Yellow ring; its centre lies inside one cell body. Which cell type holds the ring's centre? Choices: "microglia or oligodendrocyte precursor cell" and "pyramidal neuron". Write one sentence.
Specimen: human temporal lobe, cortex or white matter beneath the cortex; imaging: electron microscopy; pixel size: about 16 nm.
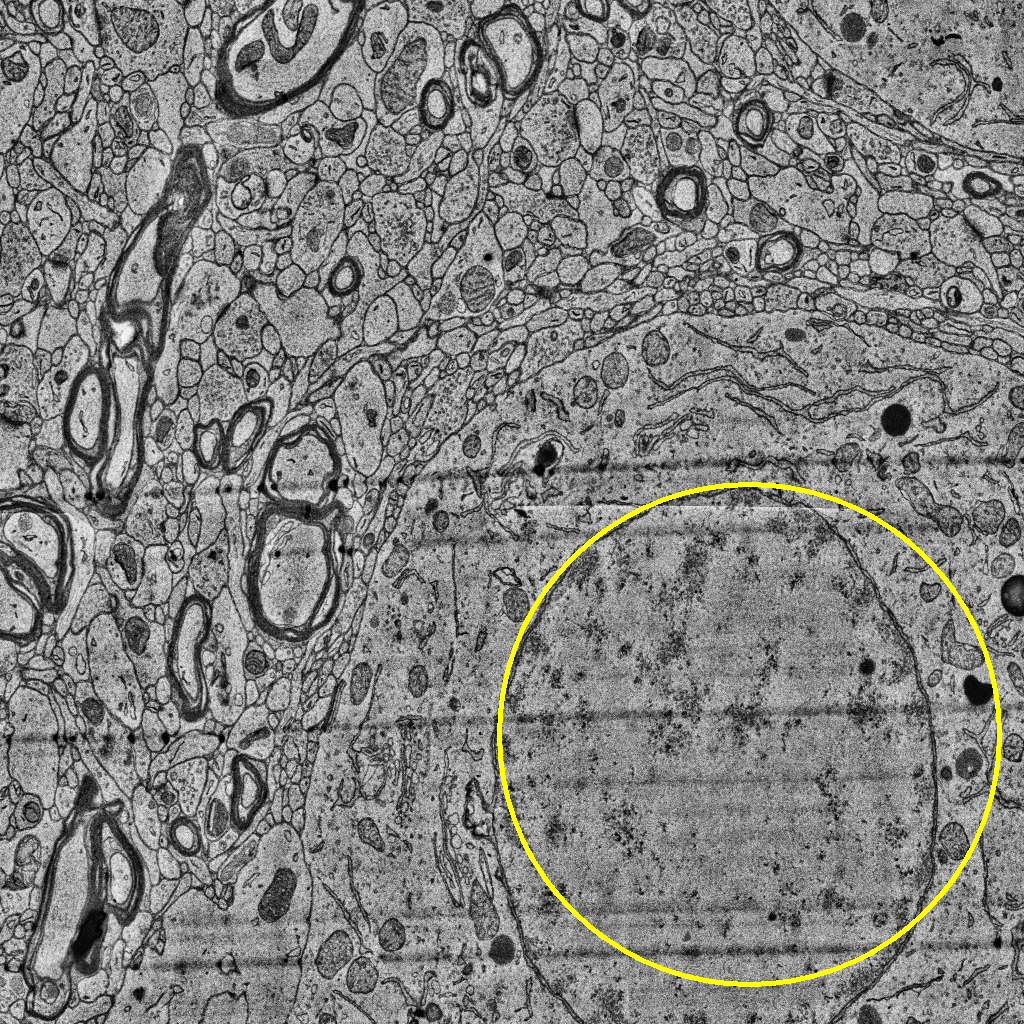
At the centre of the ring sits a pyramidal neuron.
